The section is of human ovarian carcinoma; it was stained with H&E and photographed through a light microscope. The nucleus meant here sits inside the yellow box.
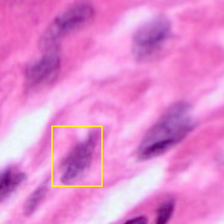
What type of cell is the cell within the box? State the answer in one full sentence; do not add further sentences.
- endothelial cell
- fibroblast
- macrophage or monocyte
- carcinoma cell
In cell-type terms, the cell within the box is a fibroblast.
